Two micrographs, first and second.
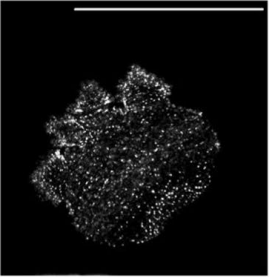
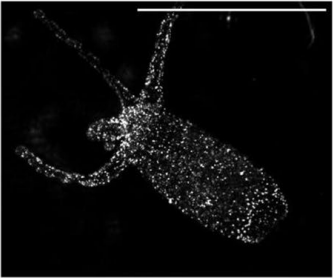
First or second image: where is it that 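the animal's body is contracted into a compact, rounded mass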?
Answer: The first image.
